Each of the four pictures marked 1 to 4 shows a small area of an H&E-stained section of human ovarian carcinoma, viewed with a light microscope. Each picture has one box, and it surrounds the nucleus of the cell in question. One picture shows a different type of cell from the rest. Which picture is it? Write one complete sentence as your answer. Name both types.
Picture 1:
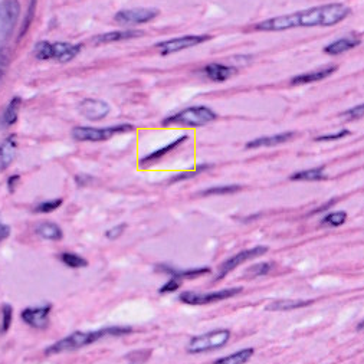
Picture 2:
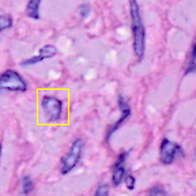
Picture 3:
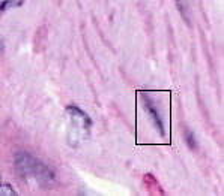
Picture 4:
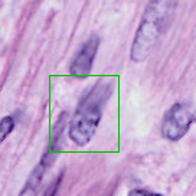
The different one is picture 4; it shows a “macrophage or monocyte”, whereas all the others show fibroblasts.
